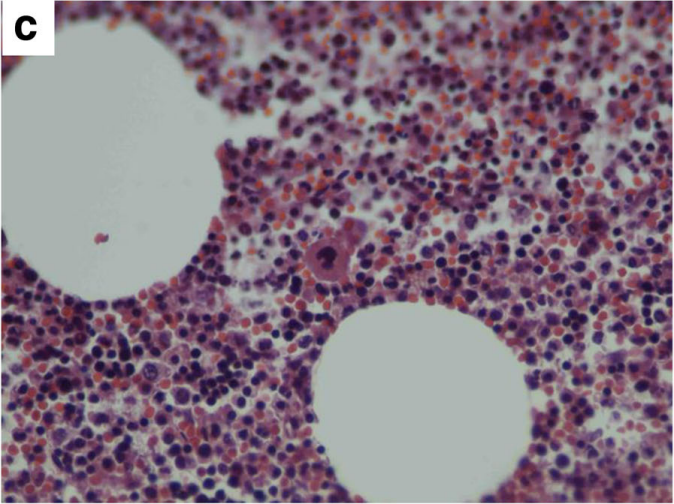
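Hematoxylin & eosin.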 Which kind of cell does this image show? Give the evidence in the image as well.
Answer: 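A single very large cell with abundant pink cytoplasm and a lobulated dark nucleus lies near the centre. It is many times larger than the surrounding small round cells. So: megakaryocytes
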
